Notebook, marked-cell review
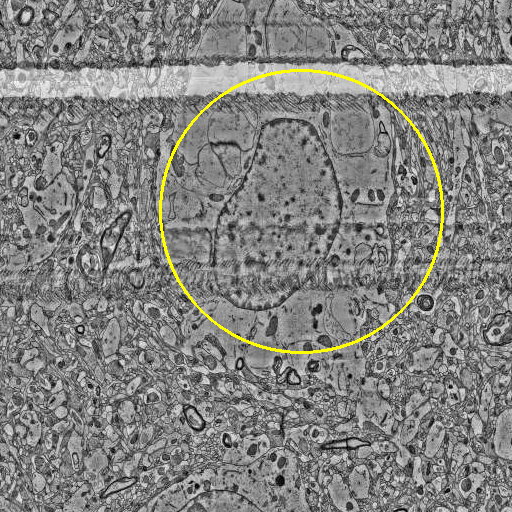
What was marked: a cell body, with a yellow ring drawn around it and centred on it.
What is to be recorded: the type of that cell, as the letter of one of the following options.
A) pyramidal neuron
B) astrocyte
B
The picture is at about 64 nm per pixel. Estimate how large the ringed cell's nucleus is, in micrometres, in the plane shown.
Approximately 12 by 7 micrometers, which makes the nucleus clearly longer than it is wide in this plane.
